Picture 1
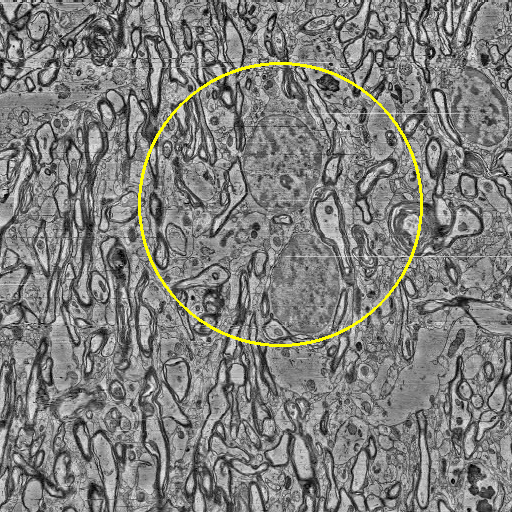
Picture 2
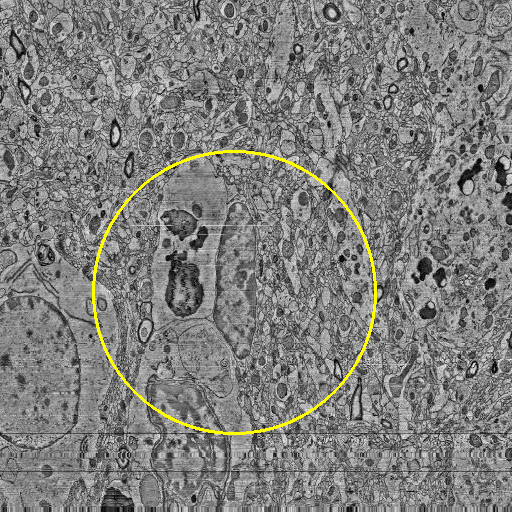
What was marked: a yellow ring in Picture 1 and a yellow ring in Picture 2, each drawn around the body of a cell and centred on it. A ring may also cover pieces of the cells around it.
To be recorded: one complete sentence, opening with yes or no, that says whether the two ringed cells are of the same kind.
No, the two ringed cells are of two kinds.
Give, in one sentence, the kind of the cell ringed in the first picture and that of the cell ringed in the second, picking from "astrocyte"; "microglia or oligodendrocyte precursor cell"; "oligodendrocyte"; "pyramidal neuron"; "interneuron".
For the first picture it is an oligodendrocyte; for the second, a microglial cell or oligodendrocyte precursor cell.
